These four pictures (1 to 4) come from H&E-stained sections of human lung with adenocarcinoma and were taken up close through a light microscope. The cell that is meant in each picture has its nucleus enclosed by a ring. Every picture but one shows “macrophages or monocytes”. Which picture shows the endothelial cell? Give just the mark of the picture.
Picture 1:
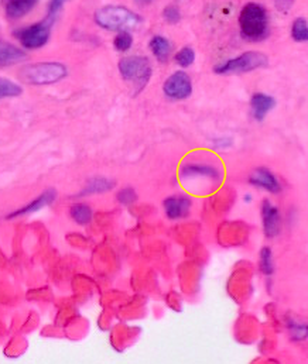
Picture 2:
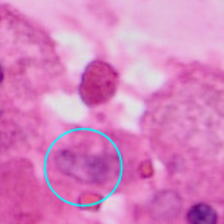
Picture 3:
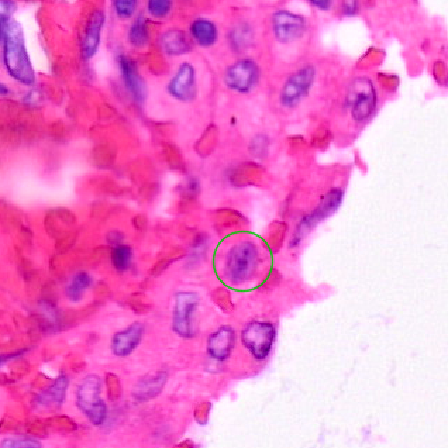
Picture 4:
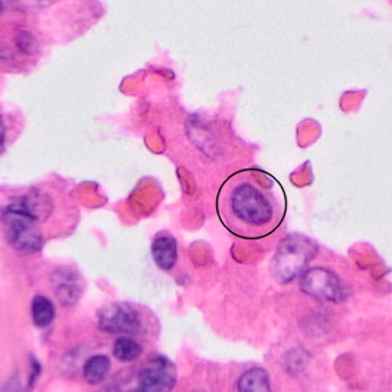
1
